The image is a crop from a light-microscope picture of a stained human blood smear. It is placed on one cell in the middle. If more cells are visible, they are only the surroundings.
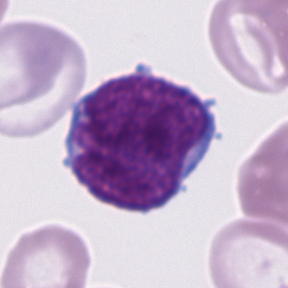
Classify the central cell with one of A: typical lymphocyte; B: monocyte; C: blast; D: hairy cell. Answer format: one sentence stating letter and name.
Well, the cell in the middle is a blast, making option C right.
